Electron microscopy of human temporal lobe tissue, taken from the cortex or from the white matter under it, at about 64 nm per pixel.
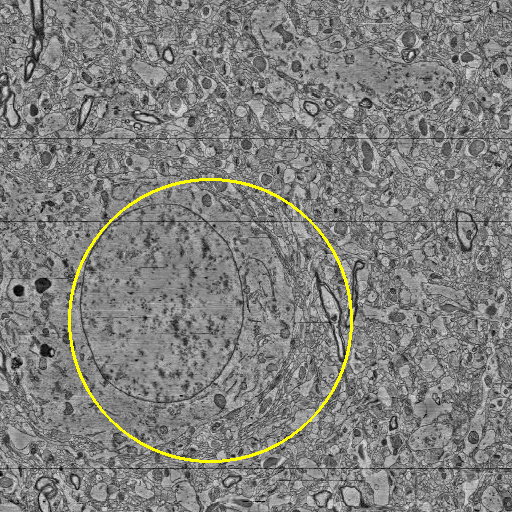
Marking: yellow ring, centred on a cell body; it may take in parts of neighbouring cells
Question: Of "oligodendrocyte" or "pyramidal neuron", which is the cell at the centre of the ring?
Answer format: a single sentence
The ring surrounds the body of a pyramidal neuron.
